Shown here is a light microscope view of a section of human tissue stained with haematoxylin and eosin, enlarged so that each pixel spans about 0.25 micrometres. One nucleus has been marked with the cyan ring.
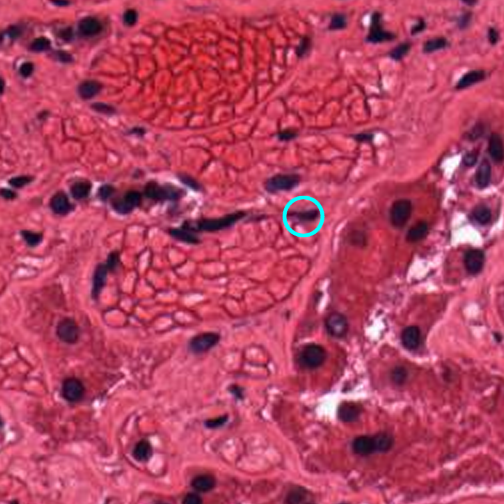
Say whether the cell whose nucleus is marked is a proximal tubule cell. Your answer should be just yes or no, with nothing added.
no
